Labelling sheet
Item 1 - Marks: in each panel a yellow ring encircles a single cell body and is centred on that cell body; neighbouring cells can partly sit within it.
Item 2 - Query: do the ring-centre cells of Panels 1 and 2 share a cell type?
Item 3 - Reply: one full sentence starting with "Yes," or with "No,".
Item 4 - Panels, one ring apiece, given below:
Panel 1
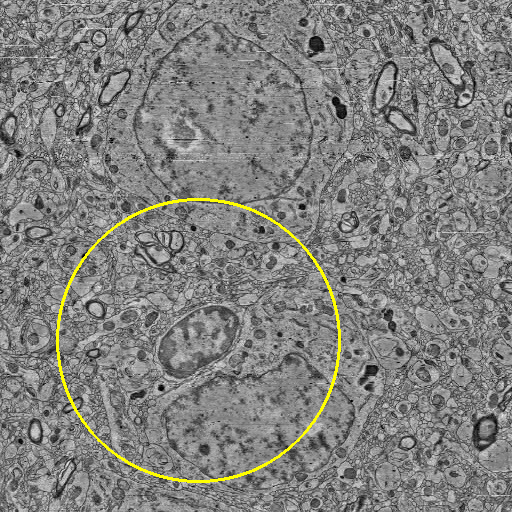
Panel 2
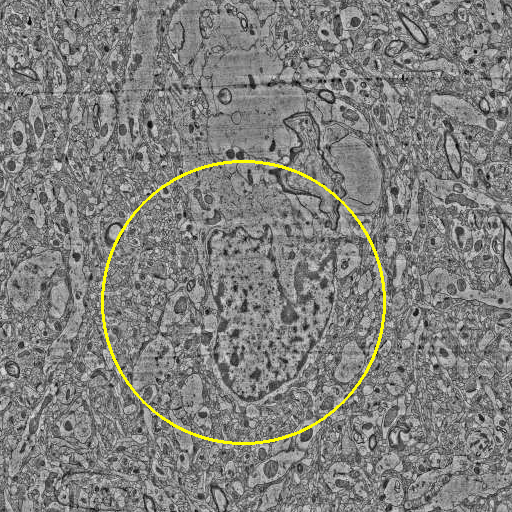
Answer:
Yes, Panel 1 and Panel 2 show one cell type at the centres of their rings.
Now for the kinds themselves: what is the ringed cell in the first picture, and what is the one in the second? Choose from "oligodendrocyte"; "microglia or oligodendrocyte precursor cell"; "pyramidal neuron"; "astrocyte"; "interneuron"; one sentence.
Both rings mark a microglial cell or oligodendrocyte precursor cell, one in each picture.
